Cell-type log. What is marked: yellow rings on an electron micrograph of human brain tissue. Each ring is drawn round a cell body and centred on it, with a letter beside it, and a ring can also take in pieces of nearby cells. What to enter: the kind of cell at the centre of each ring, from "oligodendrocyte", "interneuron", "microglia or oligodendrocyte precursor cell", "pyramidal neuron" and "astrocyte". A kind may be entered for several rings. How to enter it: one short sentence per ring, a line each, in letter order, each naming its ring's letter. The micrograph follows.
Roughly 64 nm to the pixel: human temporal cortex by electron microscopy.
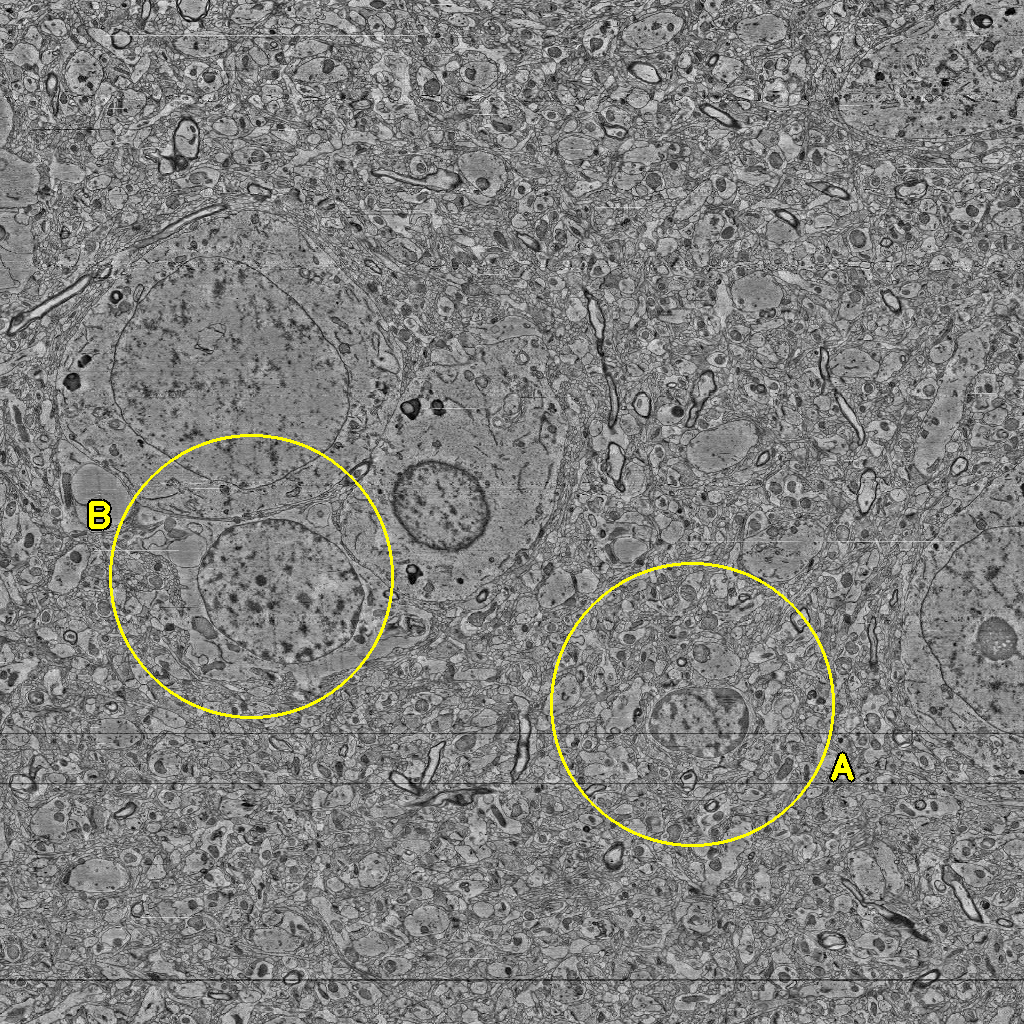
For ring A, the centre cell is a microglial cell or oligodendrocyte precursor cell.
For ring B, the centre cell is an astrocyte.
